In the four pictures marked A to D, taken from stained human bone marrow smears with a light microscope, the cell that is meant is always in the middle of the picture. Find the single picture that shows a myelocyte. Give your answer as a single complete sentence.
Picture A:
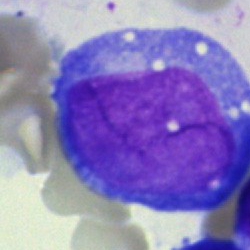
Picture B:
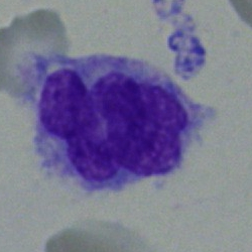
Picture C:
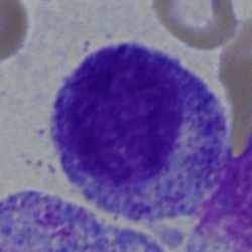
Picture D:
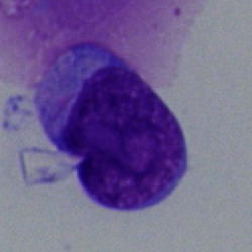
It is picture C that shows the myelocyte.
